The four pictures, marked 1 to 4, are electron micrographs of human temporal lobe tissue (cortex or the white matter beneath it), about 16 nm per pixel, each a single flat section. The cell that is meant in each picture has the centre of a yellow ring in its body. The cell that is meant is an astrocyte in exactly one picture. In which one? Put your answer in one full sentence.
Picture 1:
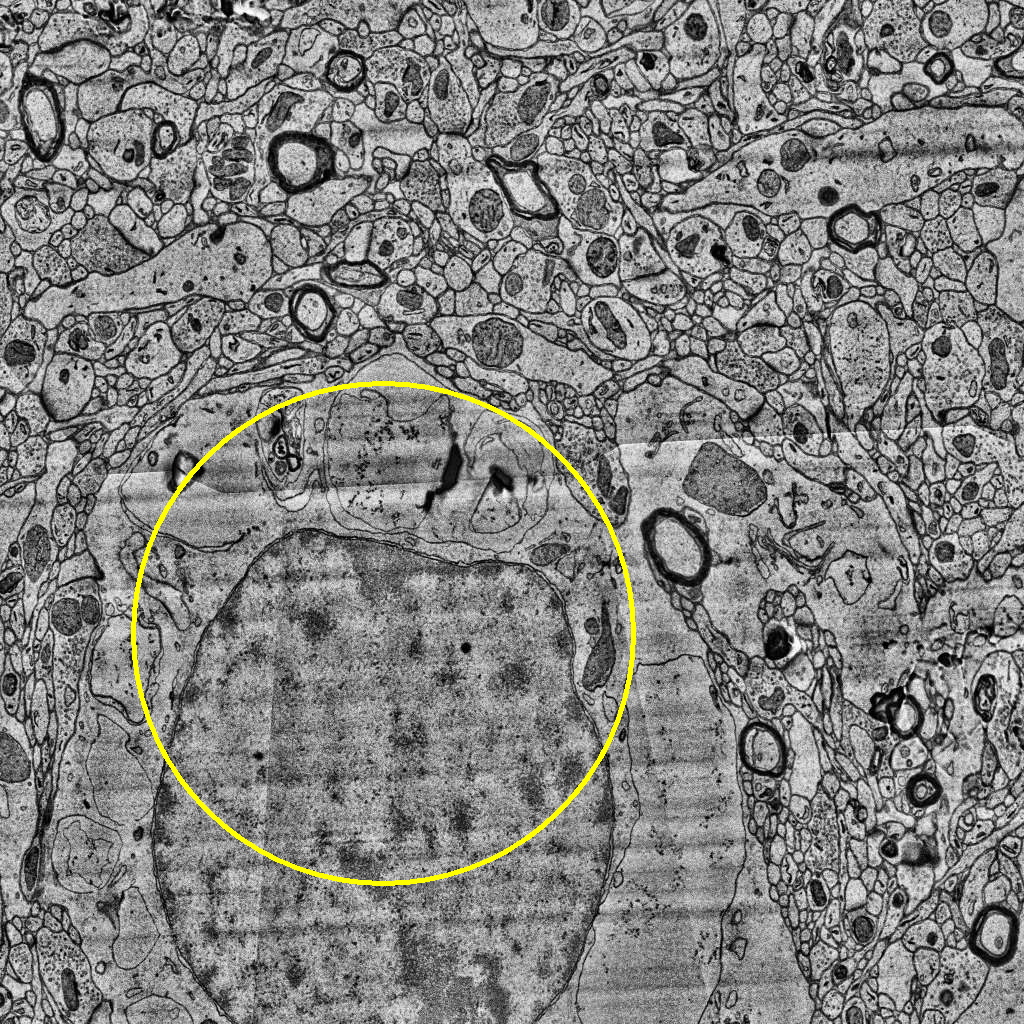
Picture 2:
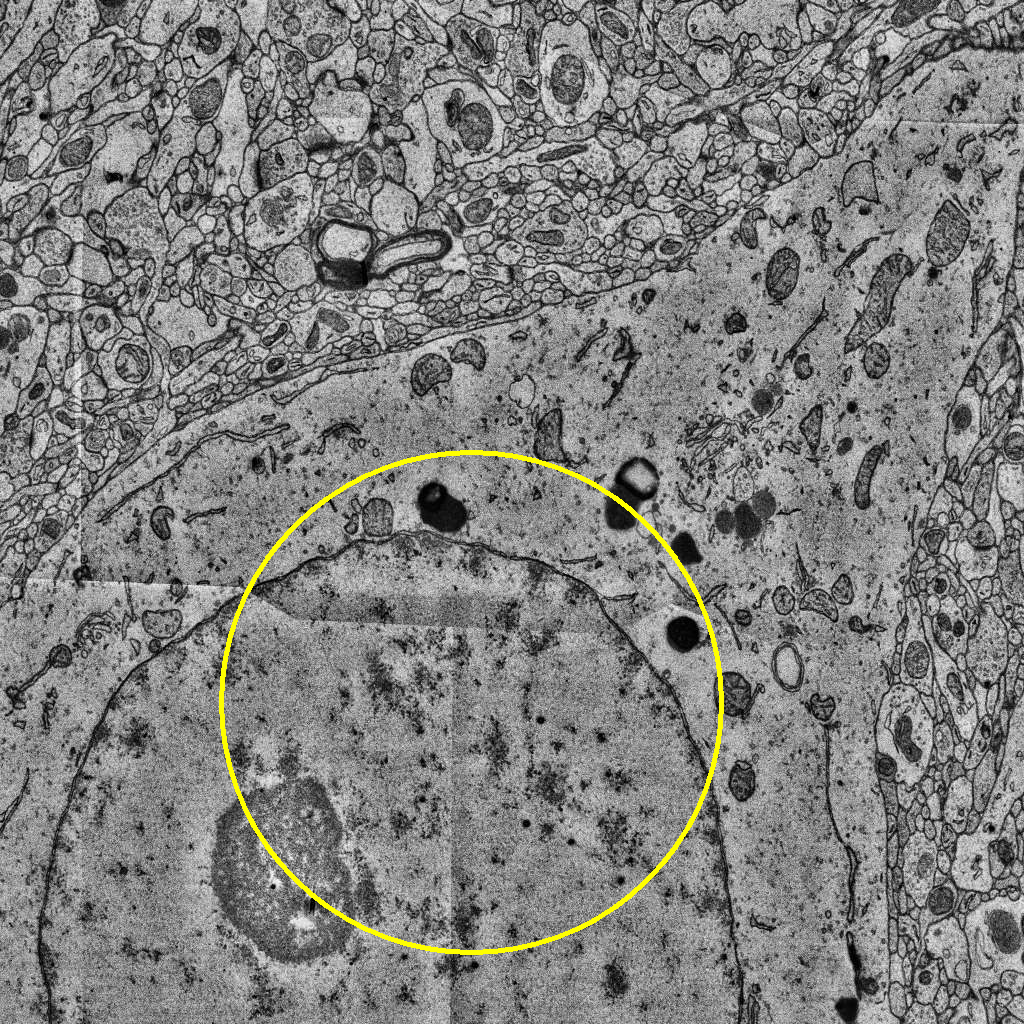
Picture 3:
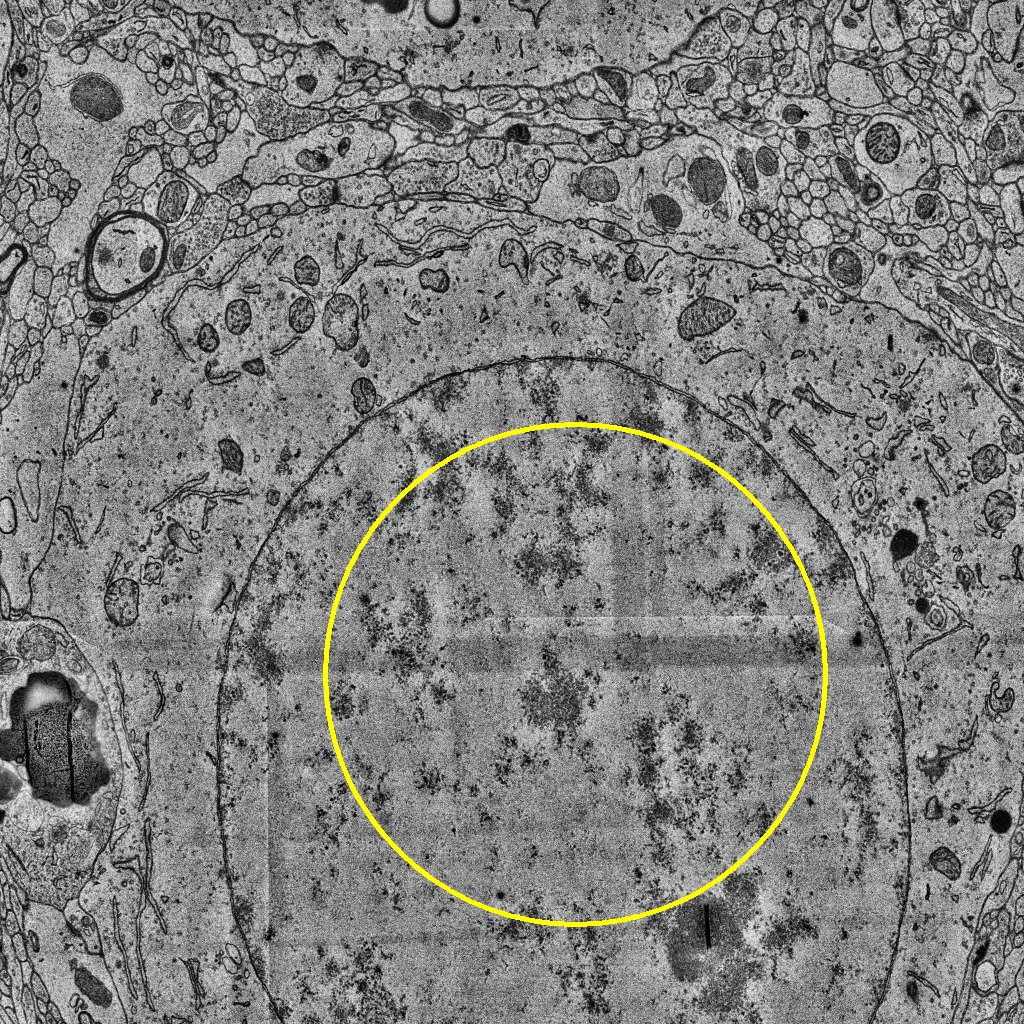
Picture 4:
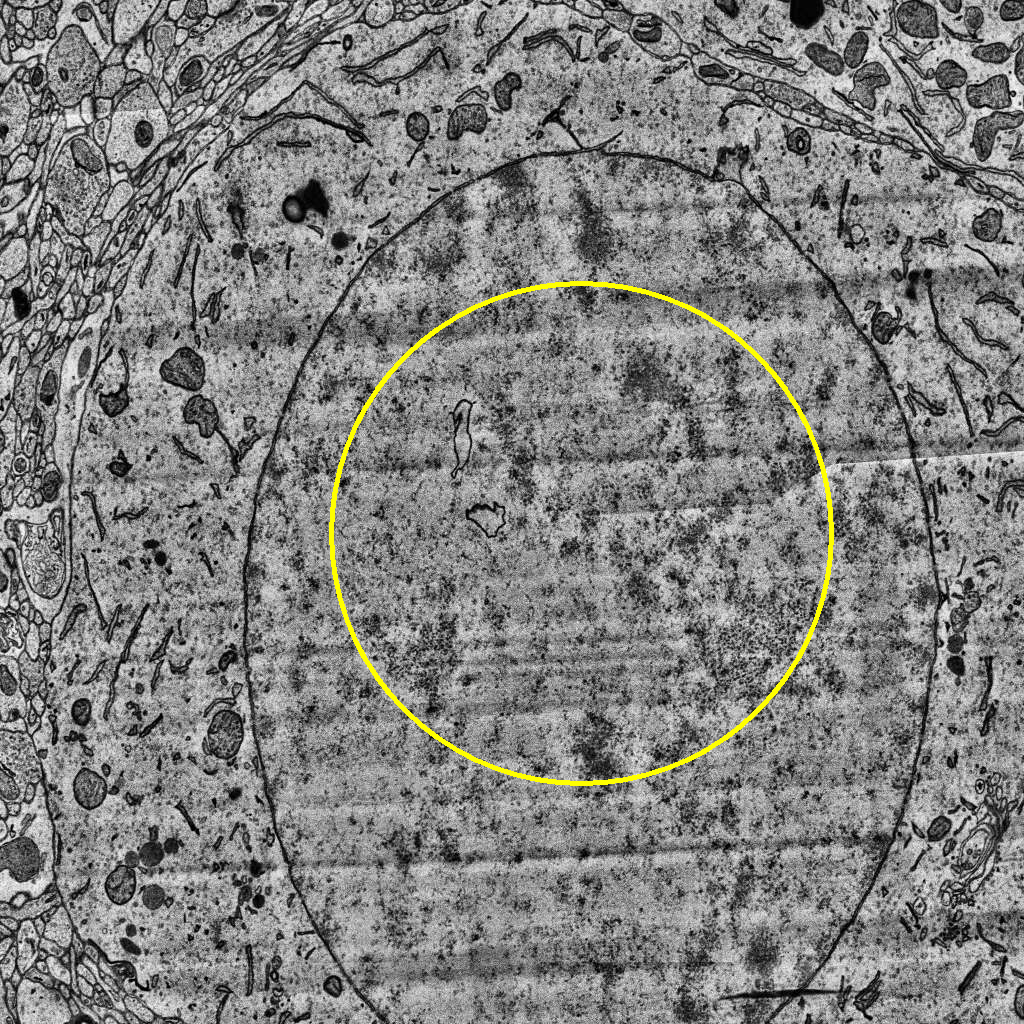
Picture 1 shows the astrocyte.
